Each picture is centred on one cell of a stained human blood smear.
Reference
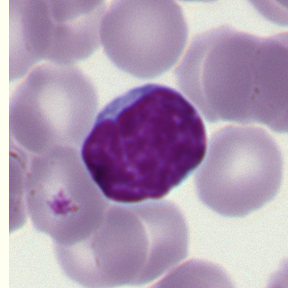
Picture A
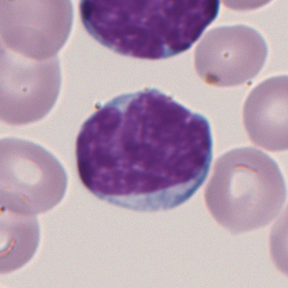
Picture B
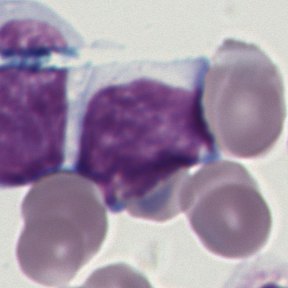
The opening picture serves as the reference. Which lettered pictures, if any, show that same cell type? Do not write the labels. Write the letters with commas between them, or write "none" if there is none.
A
